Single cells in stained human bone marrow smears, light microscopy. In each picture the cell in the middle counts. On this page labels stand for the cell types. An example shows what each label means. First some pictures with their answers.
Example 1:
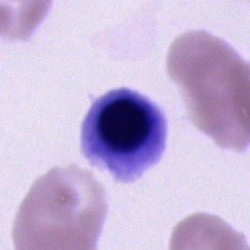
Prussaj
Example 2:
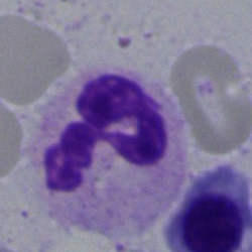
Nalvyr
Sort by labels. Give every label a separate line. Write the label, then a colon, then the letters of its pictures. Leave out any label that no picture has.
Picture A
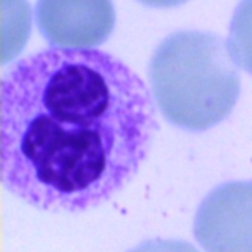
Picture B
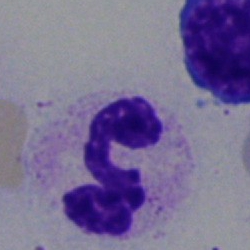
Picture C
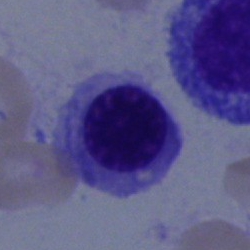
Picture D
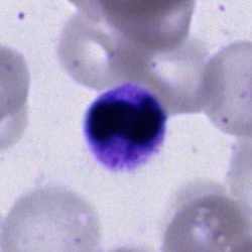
Prussaj: C
Nalvyr: A, B, D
